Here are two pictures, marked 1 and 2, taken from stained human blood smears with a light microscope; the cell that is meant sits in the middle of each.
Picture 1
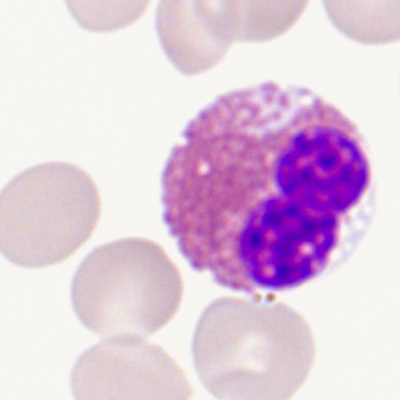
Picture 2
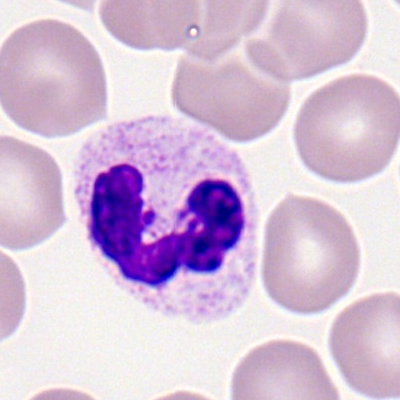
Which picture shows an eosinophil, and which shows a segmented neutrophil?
1: eosinophil
2: segmented neutrophil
